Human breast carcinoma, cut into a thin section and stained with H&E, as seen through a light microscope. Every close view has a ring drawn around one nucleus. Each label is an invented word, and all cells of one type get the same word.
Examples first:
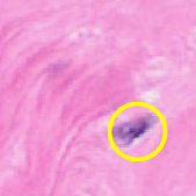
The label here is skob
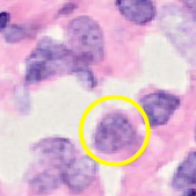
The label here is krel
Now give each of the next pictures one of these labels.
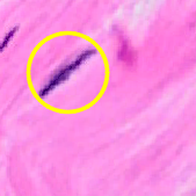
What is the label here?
skob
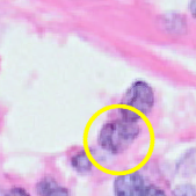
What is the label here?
krel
